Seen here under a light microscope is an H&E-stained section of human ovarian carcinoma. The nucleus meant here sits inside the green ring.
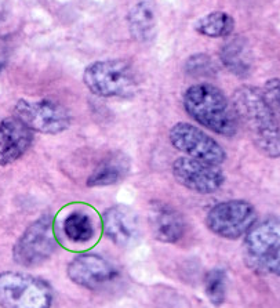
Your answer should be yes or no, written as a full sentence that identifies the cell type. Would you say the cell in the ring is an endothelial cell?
No, just to correct that, the cell in the ring is a lymphocyte and not an endothelial cell.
